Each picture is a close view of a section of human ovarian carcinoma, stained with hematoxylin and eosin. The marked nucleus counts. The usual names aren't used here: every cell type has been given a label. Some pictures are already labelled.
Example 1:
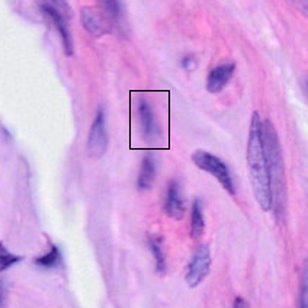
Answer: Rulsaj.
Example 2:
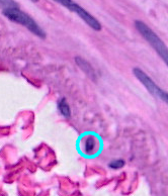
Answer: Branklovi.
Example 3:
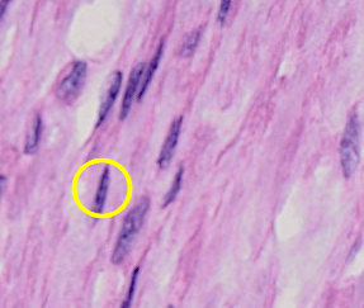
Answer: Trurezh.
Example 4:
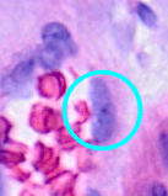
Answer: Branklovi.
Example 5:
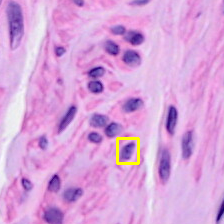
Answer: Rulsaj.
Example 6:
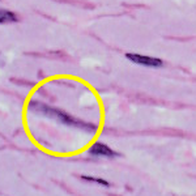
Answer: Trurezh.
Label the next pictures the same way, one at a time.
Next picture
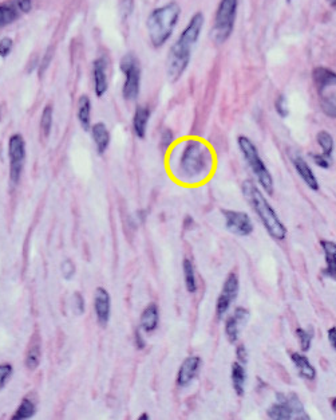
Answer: Trurezh.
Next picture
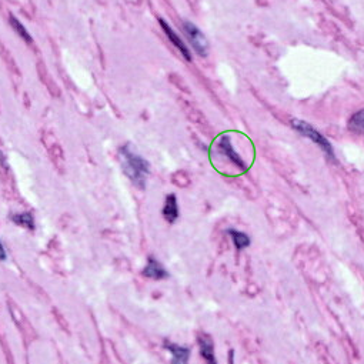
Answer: Trurezh.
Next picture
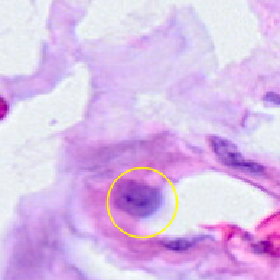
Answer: Branklovi.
